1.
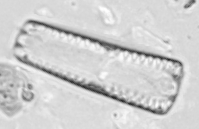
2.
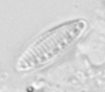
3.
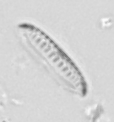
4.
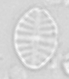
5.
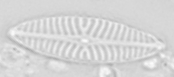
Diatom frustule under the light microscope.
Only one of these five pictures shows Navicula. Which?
Picture 5.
